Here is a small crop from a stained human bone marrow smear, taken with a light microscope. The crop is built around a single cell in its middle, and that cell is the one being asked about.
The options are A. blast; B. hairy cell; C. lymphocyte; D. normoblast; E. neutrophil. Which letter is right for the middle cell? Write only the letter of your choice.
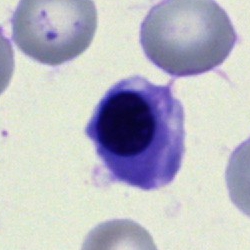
D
